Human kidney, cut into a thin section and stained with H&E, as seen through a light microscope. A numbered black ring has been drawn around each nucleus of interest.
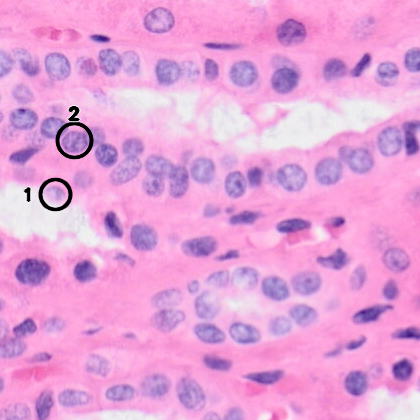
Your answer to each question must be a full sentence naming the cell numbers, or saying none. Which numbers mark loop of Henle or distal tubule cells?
None but cell 1 among the numbered cells is a loop of Henle or distal tubule cell.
